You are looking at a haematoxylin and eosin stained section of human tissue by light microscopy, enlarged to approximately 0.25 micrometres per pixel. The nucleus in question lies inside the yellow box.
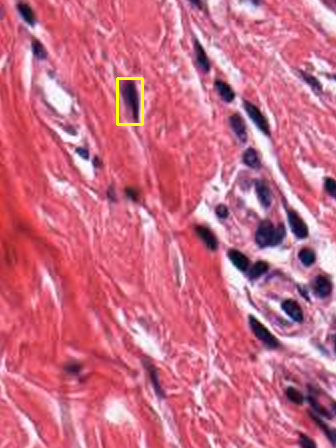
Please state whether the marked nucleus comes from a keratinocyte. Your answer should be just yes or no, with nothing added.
no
